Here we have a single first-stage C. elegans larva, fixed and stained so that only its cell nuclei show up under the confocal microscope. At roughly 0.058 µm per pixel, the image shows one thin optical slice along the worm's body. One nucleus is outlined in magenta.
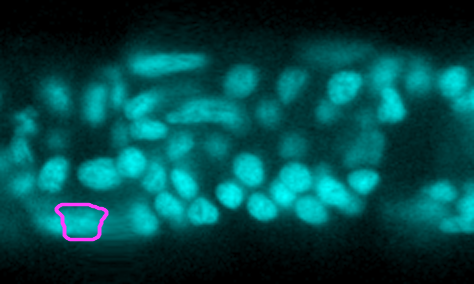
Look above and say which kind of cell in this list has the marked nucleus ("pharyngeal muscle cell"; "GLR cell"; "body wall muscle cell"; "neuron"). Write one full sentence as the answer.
This is the nucleus of a body wall muscle cell.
